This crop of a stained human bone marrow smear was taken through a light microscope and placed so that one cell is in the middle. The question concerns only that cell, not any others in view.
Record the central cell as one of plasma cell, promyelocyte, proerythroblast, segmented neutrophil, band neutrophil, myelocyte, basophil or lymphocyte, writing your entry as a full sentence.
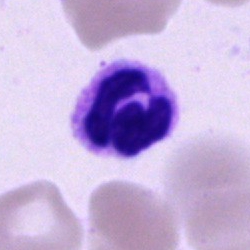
The centrally located cell in the crop is a segmented neutrophil.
